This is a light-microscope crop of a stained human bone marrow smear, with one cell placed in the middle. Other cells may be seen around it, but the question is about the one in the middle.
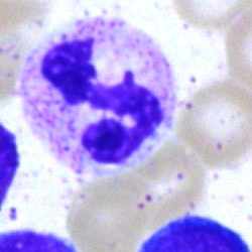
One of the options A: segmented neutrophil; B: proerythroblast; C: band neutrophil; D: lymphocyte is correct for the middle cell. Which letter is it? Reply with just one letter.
A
